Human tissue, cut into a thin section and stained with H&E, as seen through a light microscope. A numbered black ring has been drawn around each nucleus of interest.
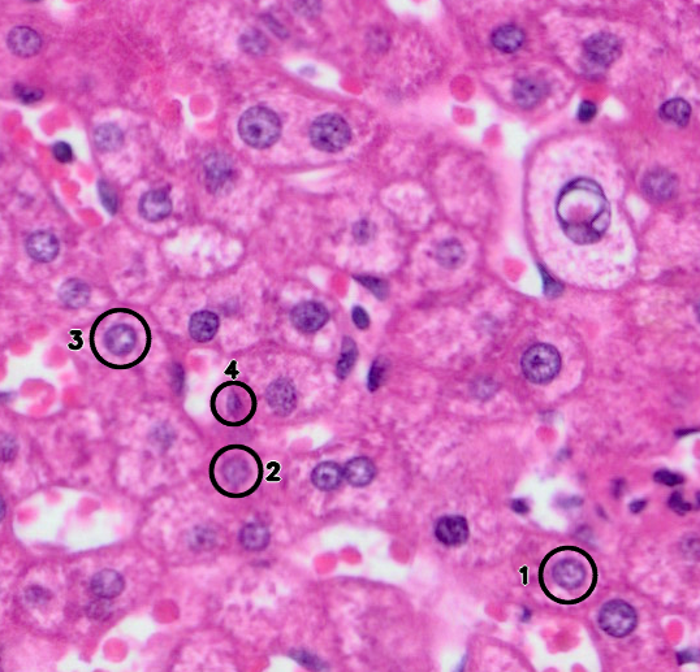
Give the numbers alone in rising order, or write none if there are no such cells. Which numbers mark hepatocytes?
1, 2, 3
